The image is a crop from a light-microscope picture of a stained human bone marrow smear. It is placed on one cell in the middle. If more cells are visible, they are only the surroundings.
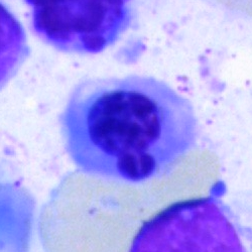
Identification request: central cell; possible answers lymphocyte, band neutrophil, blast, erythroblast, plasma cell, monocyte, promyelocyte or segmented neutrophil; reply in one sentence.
For this crop, the central cell is an erythroblast.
